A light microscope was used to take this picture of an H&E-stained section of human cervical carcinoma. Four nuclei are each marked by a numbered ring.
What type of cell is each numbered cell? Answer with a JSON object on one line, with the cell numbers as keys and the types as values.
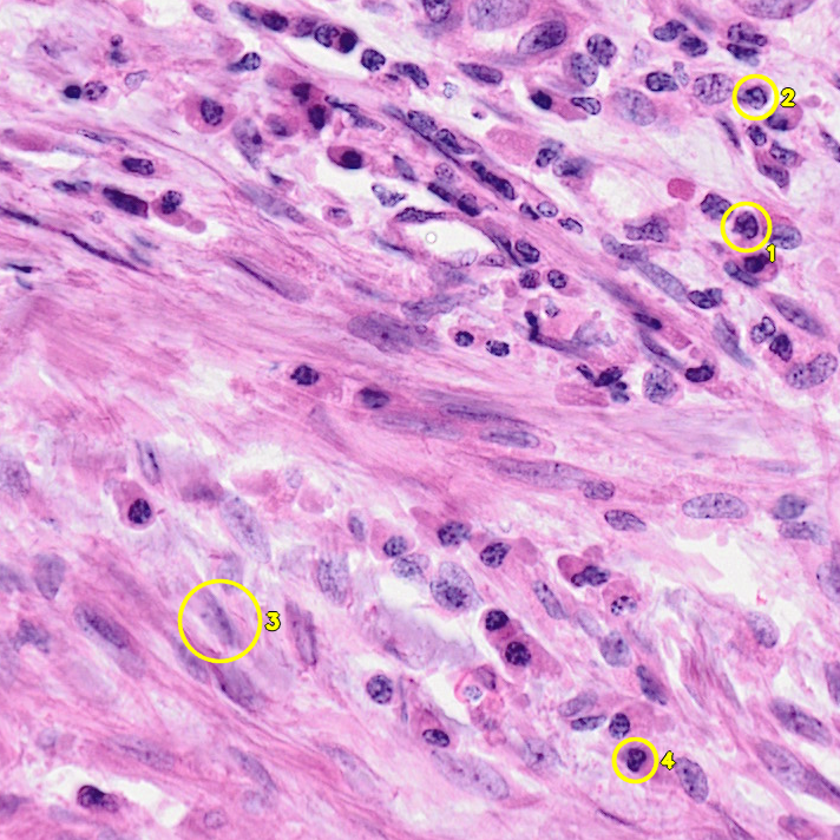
{"1": "lymphocyte", "2": "lymphocyte", "3": "fibroblast", "4": "lymphocyte"}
